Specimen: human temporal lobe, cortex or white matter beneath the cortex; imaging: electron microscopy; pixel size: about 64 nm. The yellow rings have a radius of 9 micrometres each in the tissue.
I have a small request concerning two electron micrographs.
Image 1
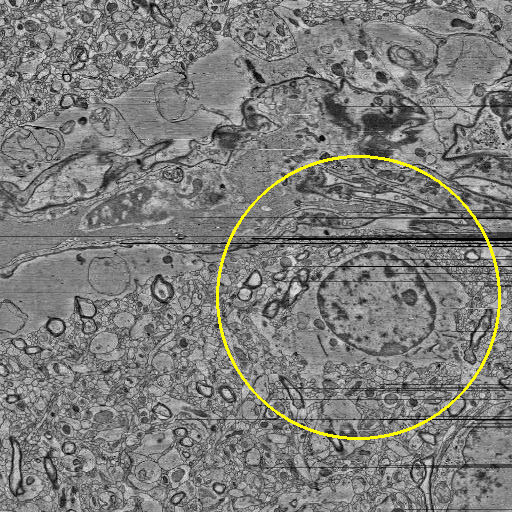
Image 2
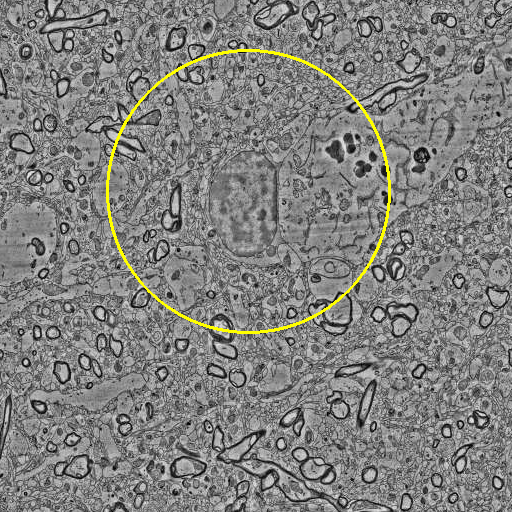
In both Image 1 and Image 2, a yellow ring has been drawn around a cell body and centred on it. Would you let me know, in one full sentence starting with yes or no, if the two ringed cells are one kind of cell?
No, the cells ringed in Image 1 and Image 2 are two kinds of cell.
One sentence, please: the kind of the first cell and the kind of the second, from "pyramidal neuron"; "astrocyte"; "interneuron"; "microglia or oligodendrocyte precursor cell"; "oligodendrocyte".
The ring in the first picture surrounds an astrocyte, and the ring in the second surrounds an oligodendrocyte.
